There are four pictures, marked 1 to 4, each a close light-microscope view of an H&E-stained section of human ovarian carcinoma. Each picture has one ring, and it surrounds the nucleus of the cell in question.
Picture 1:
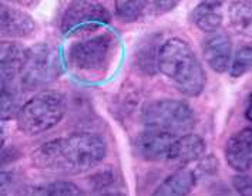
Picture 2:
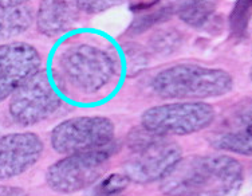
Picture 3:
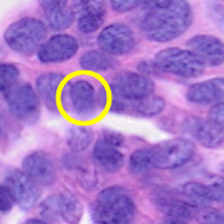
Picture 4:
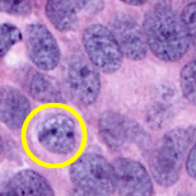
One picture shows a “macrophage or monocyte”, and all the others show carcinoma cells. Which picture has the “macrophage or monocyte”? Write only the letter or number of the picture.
4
